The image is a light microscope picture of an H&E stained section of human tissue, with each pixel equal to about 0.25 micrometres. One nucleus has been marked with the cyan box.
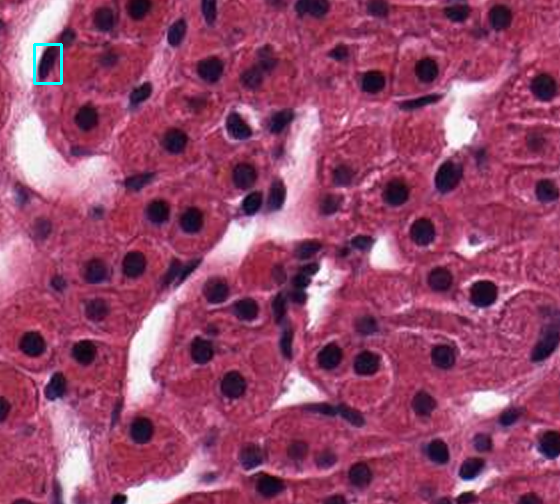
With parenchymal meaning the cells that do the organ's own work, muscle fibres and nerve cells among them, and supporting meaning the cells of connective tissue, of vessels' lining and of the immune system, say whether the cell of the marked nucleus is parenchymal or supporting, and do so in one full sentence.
The marked nucleus lies in a supporting cell.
